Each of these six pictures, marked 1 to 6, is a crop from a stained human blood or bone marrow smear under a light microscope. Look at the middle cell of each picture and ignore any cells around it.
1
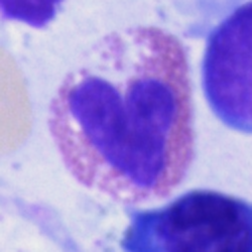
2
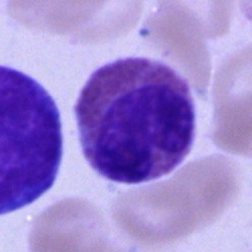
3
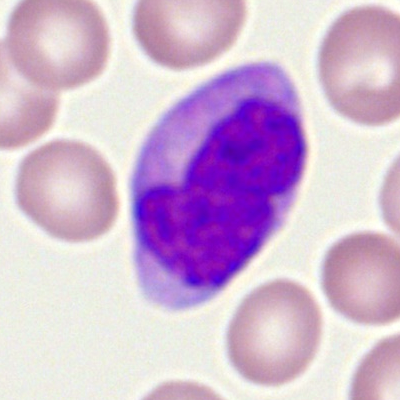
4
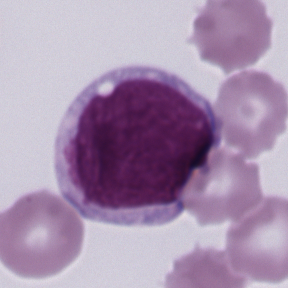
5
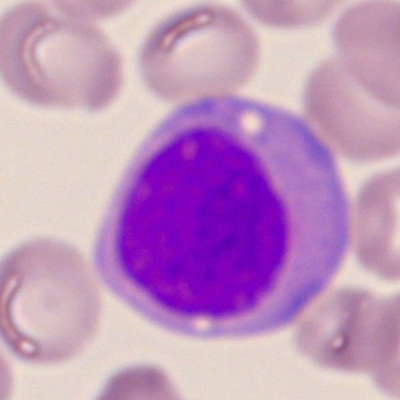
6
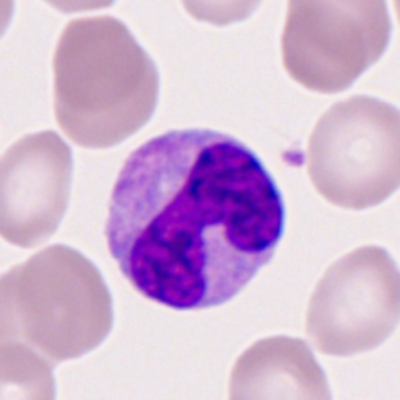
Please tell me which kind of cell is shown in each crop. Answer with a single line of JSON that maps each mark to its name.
{"1": "eosinophil", "2": "eosinophil", "3": "monocyte", "4": "blast", "5": "blast", "6": "monocyte"}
